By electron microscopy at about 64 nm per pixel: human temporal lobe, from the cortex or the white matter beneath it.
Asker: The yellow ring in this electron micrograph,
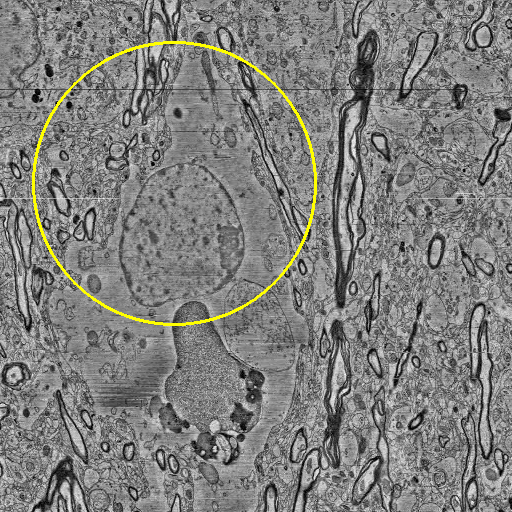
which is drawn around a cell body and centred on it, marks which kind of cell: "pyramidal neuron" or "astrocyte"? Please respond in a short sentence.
The marked cell is an astrocyte.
